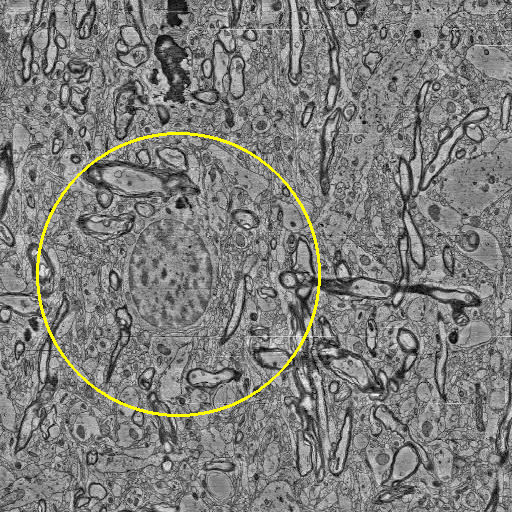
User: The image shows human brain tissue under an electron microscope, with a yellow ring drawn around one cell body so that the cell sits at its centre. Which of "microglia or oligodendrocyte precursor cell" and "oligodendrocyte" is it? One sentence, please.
At the centre of the ring sits an oligodendrocyte.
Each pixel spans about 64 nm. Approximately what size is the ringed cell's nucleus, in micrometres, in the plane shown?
The nucleus appears roughly 7 by 5 micrometres in this plane.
